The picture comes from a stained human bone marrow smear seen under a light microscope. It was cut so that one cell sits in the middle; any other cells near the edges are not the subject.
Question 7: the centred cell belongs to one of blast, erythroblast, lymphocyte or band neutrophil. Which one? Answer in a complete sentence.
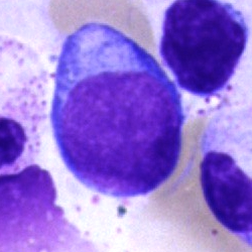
Classified as a blast is the cell in the middle of this crop.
